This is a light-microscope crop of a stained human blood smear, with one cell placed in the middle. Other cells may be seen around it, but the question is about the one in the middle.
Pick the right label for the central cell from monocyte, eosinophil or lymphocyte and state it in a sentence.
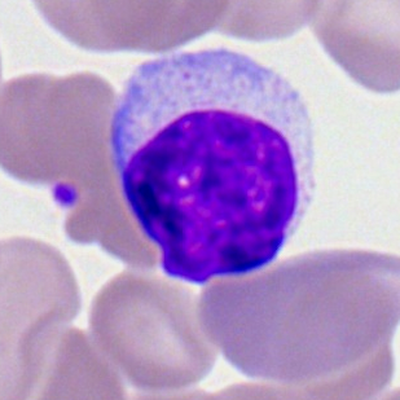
The cell sitting right in the middle is a lymphocyte.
